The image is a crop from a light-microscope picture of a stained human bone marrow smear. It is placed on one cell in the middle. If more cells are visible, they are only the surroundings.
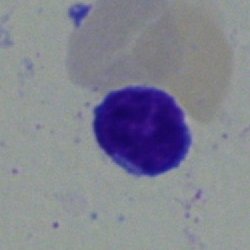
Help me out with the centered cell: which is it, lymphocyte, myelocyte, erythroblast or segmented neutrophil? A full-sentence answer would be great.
In the crop, the cell of interest at the centre is a lymphocyte.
